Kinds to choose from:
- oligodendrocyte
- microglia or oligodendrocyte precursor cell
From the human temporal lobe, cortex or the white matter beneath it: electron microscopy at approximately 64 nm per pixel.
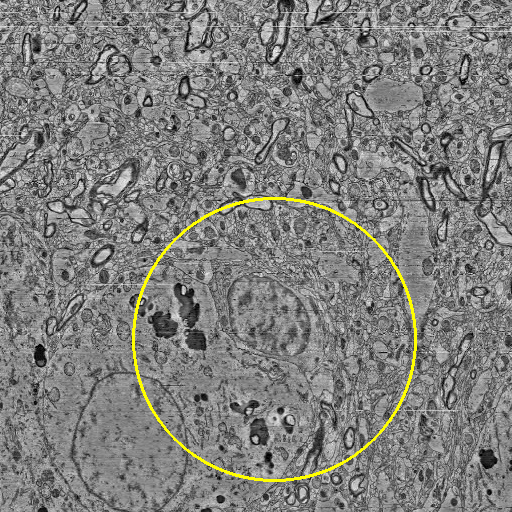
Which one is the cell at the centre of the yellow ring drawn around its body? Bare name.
oligodendrocyte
